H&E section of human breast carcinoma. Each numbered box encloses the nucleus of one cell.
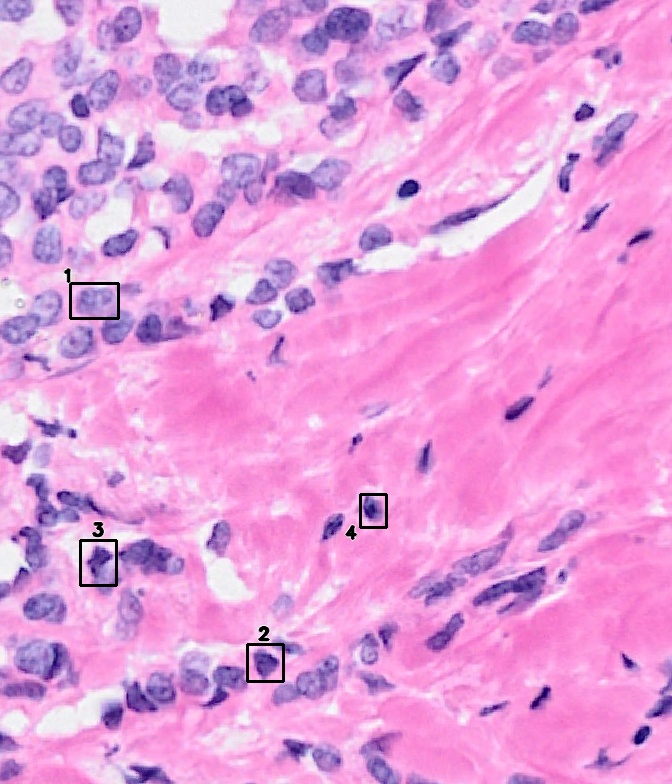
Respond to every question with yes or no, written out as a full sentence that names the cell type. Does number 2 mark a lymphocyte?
Yes, number 2 in this section denotes a lymphocyte.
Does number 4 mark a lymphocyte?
Yes, the cell labelled with number 4 is a lymphocyte.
